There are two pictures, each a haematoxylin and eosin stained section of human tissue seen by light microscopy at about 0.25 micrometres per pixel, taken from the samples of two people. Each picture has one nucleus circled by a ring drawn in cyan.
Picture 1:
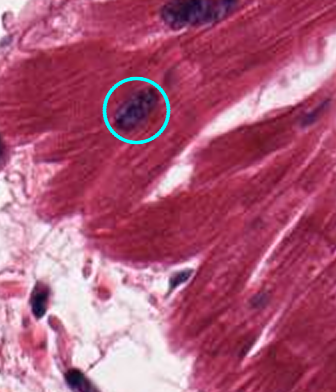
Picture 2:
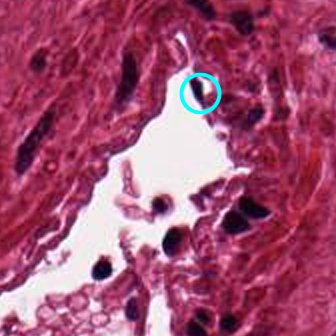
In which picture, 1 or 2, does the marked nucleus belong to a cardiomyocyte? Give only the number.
1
